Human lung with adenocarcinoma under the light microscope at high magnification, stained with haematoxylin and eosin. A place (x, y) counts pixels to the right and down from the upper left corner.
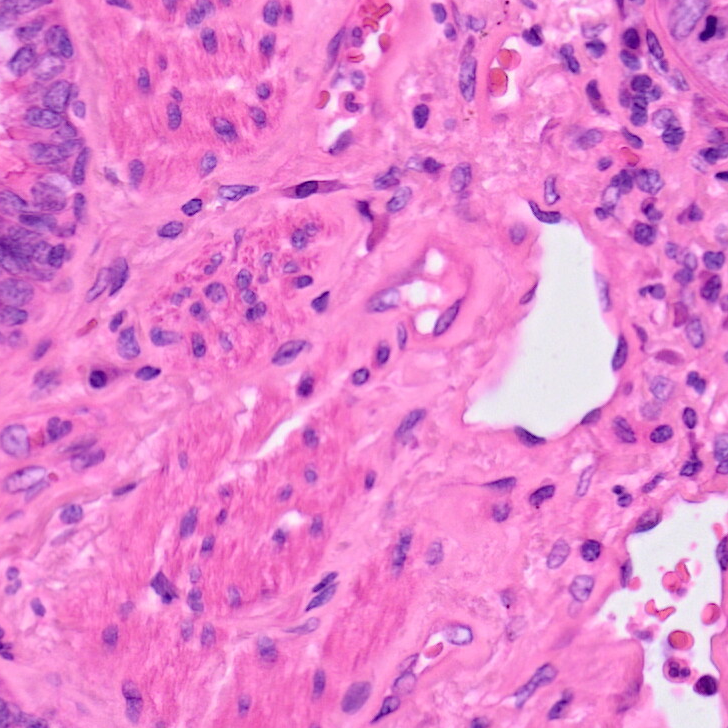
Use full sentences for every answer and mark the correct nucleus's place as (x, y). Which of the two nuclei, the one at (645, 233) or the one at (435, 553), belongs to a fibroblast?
The nucleus at (435, 553), rather than the other, belongs to a fibroblast.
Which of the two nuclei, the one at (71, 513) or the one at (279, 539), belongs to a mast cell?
Of the two nuclei, the nucleus of a mast cell is at (71, 513).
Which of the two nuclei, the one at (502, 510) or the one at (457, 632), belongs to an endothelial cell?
Housed in an endothelial cell is the nucleus at (457, 632), not the other one.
